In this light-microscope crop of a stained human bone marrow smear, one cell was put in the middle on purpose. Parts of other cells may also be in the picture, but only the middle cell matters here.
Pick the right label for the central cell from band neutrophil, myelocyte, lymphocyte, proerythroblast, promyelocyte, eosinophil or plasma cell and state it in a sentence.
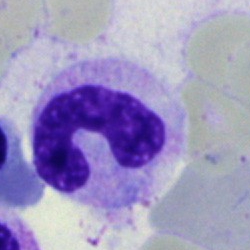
The identification for the central cell is a band neutrophil.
